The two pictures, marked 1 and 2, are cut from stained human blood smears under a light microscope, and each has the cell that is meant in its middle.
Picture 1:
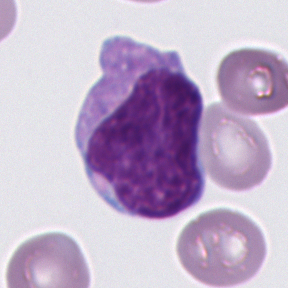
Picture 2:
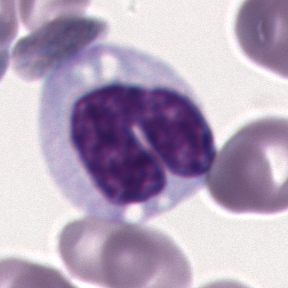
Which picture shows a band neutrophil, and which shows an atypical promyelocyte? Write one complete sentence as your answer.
It is picture 1 that shows an atypical promyelocyte, and picture 2 that shows a band neutrophil.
